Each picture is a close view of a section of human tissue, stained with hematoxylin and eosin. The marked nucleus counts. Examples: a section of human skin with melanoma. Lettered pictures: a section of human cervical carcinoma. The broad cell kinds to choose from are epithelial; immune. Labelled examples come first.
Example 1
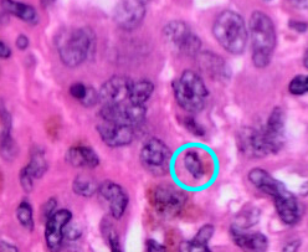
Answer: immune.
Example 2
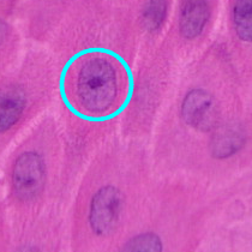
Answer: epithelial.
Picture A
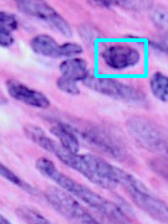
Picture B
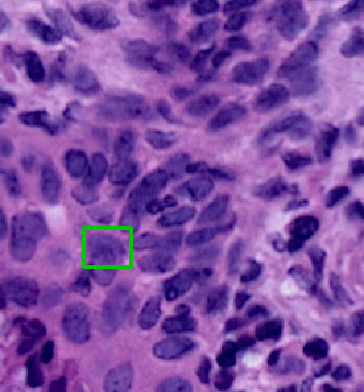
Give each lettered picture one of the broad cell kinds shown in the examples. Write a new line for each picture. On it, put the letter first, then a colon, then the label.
A: immune.
B: epithelial.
